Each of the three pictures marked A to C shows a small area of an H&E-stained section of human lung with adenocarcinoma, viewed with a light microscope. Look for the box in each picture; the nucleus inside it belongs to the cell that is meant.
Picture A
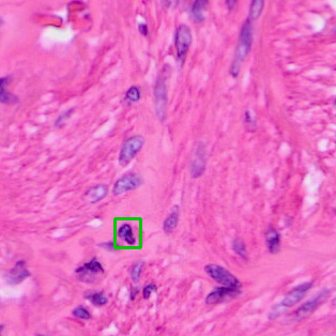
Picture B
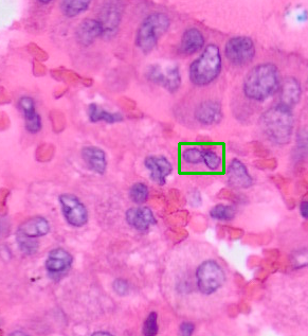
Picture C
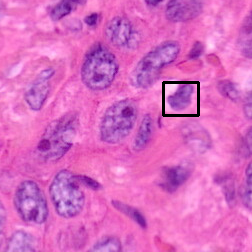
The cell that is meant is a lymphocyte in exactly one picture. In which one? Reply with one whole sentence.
Picture C shows the lymphocyte.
